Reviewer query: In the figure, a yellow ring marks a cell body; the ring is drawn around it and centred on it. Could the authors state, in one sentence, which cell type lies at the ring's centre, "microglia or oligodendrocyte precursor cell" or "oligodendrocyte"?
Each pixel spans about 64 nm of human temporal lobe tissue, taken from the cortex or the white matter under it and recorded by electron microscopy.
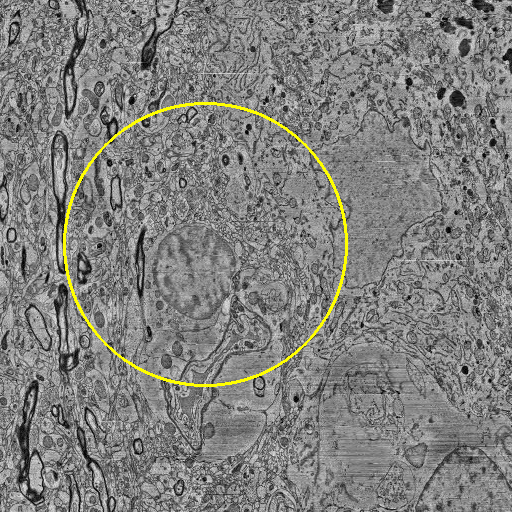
The ring is centred on an oligodendrocyte.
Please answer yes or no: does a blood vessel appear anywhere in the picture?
Yes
